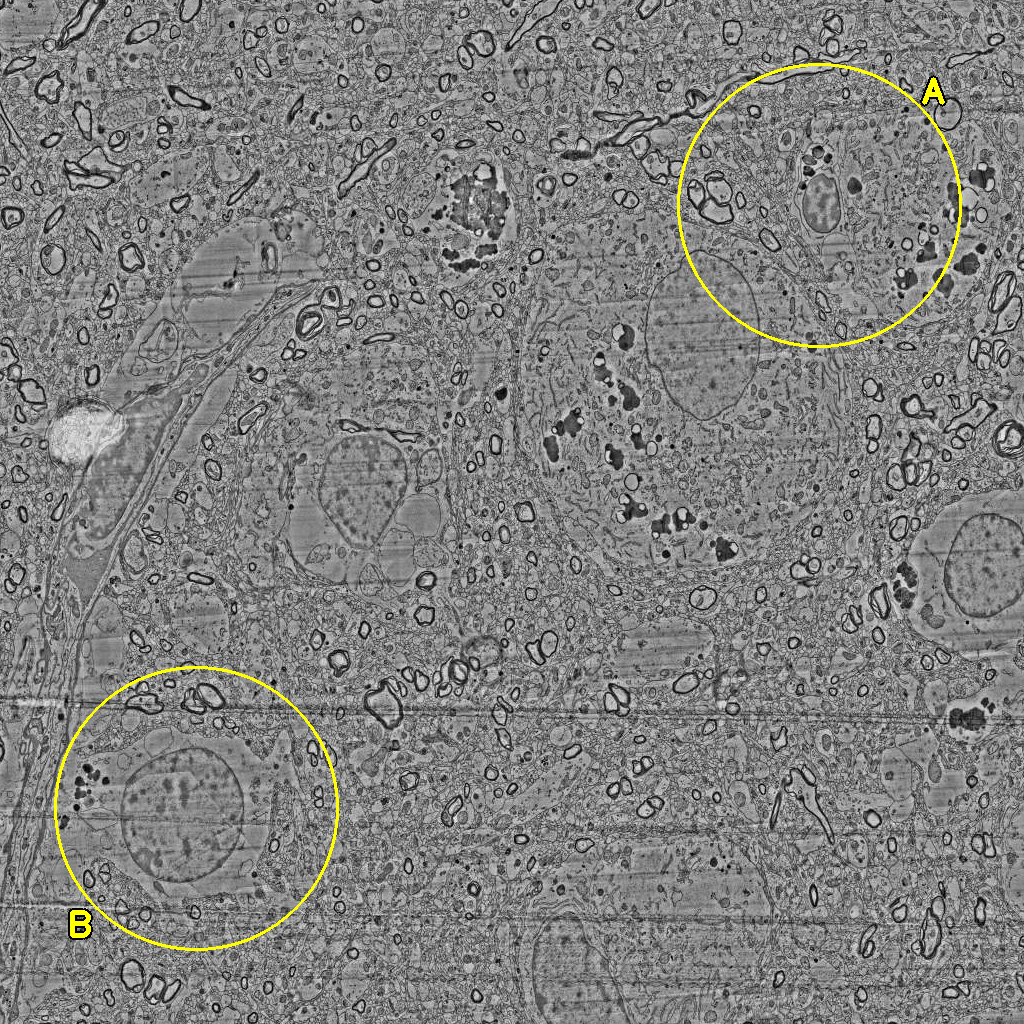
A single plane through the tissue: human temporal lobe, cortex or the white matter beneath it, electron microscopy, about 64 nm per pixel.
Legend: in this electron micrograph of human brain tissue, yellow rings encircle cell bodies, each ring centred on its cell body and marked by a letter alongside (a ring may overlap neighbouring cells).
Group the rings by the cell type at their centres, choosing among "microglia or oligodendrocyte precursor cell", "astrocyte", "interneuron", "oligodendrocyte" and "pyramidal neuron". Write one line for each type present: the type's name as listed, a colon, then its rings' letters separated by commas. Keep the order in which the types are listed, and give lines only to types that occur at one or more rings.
microglia or oligodendrocyte precursor cell: A
astrocyte: B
